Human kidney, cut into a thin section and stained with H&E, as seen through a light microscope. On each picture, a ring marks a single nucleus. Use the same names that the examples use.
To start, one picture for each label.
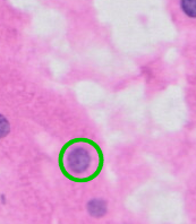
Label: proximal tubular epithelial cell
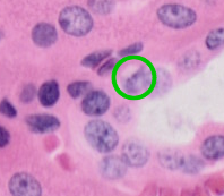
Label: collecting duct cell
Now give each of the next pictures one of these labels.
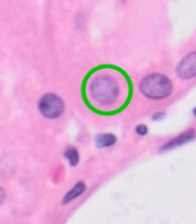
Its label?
proximal tubular epithelial cell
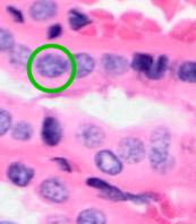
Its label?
collecting duct cell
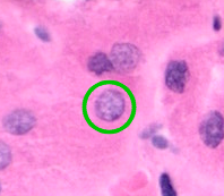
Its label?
proximal tubular epithelial cell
